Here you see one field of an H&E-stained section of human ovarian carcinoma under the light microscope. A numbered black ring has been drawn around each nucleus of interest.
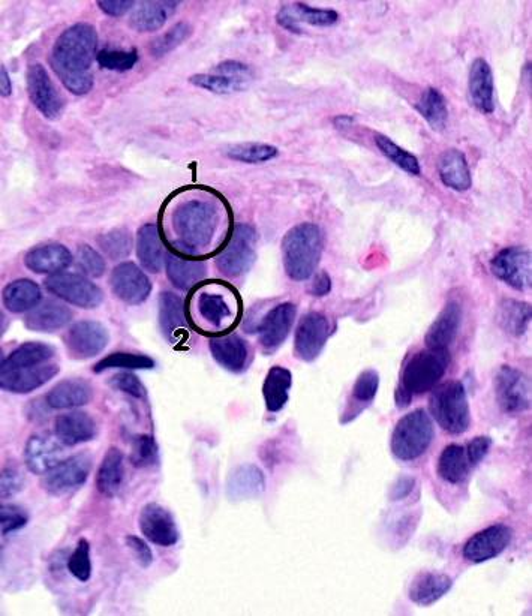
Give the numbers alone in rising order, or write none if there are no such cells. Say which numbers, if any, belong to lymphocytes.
2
